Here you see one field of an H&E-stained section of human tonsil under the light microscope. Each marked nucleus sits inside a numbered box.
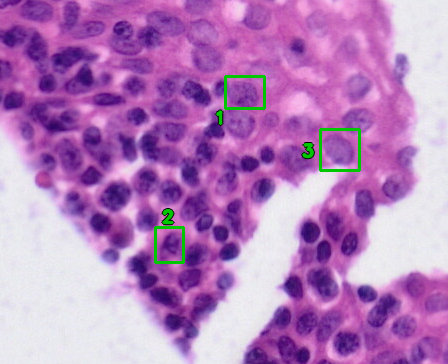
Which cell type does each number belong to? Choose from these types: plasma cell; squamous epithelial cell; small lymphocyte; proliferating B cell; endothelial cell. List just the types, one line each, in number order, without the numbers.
squamous epithelial cell
plasma cell
squamous epithelial cell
